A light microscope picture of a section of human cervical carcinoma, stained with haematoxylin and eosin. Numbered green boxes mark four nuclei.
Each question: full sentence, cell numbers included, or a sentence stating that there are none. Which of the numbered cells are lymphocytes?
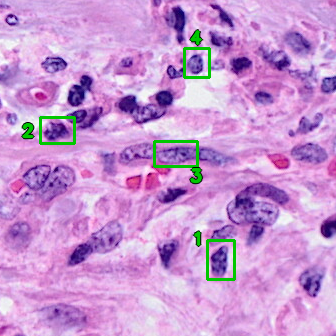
In short, the numbered cells 1, 2 and 4 are lymphocytes.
